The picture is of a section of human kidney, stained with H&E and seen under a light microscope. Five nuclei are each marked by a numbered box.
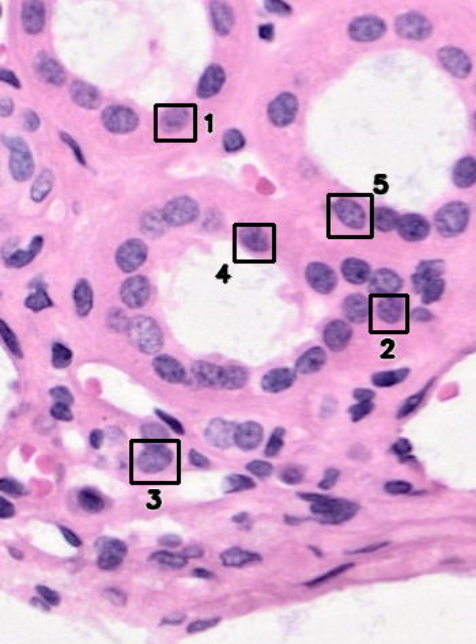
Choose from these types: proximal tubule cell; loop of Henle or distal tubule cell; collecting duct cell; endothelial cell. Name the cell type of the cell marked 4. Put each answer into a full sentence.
The cell tagged with 4 in this tissue section is a loop of Henle or distal tubule cell.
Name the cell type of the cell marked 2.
The numeral 2 marks a collecting duct cell in this section.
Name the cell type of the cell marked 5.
Belonging to a collecting duct cell is the nucleus that carries the number 5.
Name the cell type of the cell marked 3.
The cell carrying label 3 is identified as a collecting duct cell.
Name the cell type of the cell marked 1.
The cell that carries the label 1 is a loop of Henle or distal tubule cell.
